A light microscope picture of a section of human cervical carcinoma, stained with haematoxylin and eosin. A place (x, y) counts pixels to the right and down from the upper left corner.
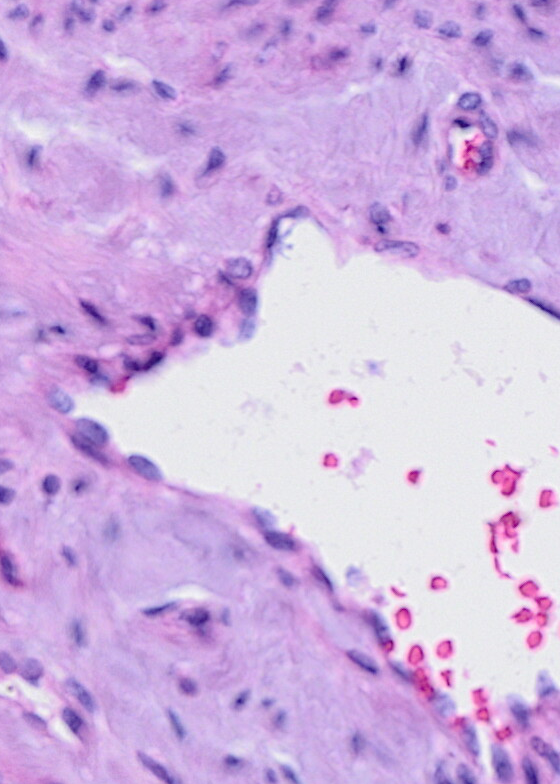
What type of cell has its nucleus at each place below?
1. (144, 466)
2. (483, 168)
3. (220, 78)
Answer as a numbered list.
1. endothelial cell
2. endothelial cell
3. smooth muscle cell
